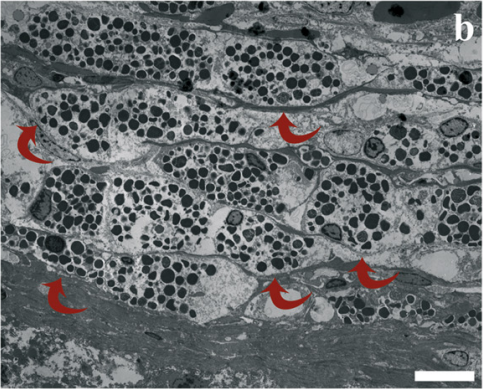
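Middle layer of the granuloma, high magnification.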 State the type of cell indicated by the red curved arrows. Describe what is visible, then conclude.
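Many cells are packed with round, very electron-dense granules. The granule-filled cells lie in elongated rows. That points to this answer: mast cells.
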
